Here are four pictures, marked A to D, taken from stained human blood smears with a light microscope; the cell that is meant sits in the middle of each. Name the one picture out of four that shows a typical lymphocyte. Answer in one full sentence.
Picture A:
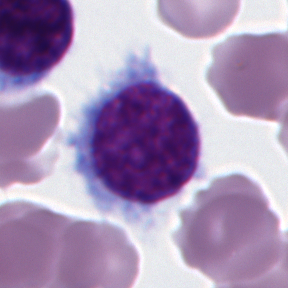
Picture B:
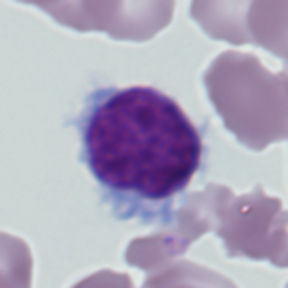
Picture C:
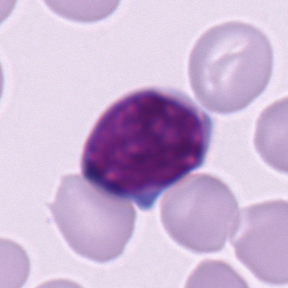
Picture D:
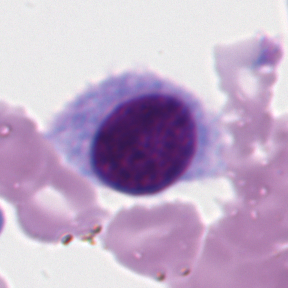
The cell in picture C is the typical lymphocyte.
